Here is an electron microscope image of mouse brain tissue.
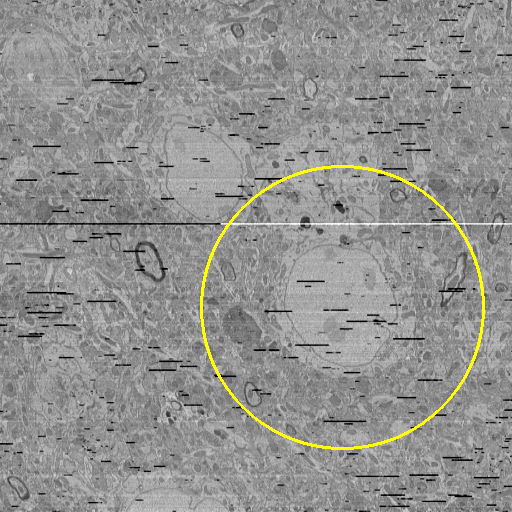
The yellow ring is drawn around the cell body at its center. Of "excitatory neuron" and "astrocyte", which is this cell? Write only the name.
excitatory neuron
